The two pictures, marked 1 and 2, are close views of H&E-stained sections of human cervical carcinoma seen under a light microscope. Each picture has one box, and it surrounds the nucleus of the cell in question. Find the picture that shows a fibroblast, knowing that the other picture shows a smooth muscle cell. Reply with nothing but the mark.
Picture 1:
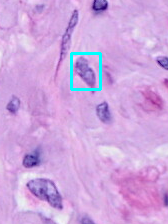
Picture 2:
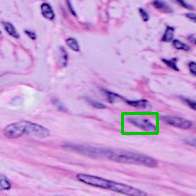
1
